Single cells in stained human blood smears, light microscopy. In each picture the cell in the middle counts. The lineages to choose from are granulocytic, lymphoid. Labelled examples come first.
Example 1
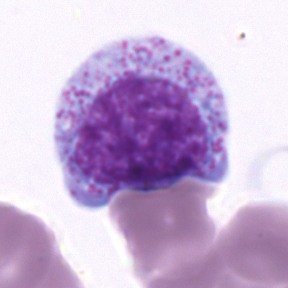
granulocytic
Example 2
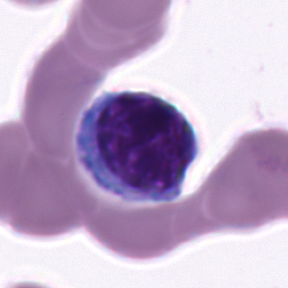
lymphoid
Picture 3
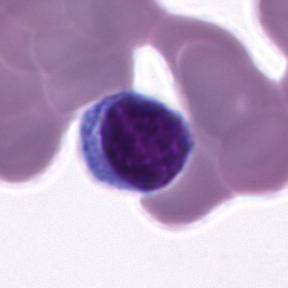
lymphoid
